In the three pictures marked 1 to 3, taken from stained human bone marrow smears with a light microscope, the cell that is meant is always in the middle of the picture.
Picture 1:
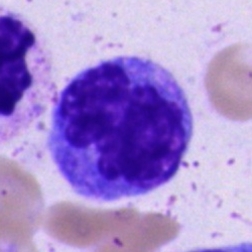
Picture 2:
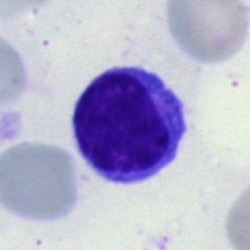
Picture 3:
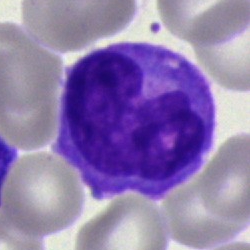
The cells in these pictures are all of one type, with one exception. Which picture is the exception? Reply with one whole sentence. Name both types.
The others show monocytes, but picture 2 shows a lymphocyte.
